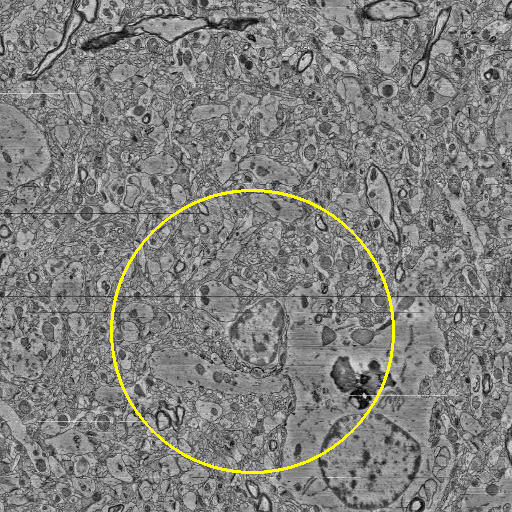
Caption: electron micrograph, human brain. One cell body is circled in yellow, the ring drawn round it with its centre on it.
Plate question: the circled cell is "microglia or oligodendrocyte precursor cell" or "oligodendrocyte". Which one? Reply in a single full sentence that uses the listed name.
The yellow ring on the plate is centred on a microglial cell or oligodendrocyte precursor cell, going by the listed names.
